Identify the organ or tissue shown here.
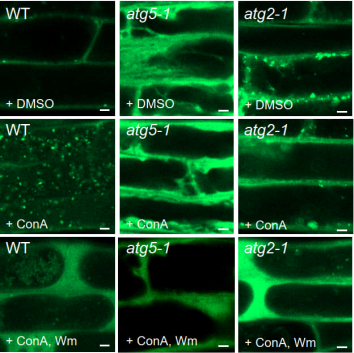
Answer: Root.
